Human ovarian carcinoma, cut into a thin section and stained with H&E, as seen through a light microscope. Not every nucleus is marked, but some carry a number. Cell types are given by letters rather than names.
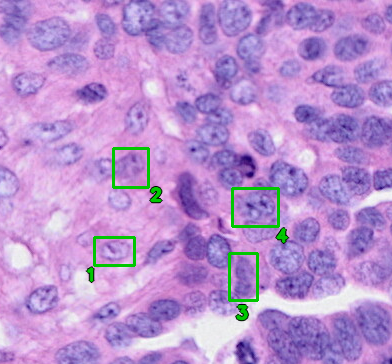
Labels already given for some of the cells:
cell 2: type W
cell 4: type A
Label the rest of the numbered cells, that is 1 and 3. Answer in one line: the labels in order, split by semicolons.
type W; type A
